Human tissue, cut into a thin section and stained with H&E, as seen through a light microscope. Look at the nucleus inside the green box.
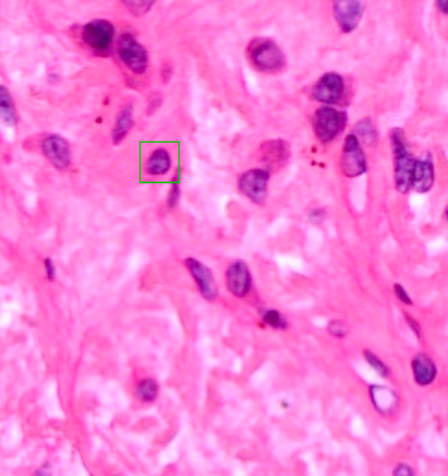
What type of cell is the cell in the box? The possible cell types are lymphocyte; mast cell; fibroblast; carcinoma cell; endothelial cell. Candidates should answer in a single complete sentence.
In terms of identity, the cell in the box is a mast cell.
